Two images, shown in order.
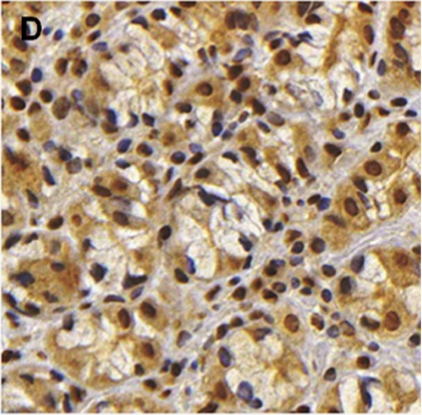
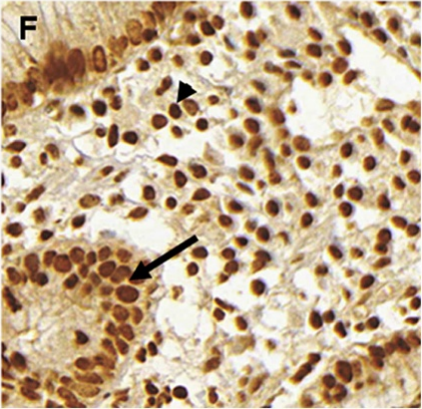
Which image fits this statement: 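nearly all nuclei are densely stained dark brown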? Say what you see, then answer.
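The second image. Second image: almost every nucleus is solid dark brown. First image: many nuclei are blue or only medium brown, with brownish cytoplasm.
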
